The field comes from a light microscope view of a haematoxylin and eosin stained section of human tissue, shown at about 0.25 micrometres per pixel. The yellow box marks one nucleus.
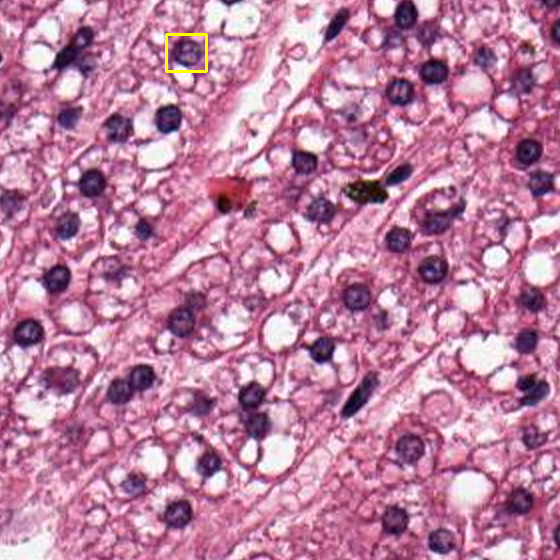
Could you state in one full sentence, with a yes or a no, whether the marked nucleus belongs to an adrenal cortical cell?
Yes, in this image it is an adrenal cortical cell that contains the marked nucleus.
